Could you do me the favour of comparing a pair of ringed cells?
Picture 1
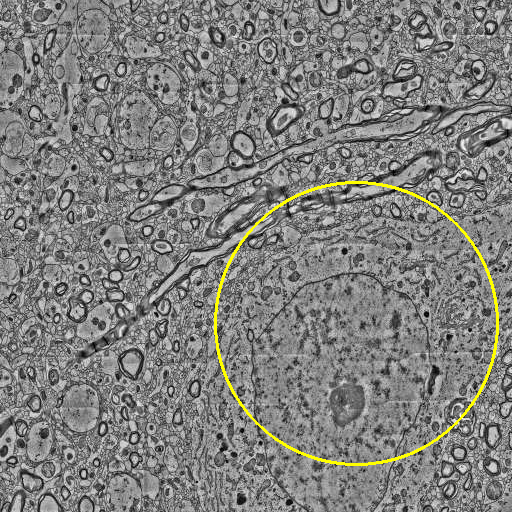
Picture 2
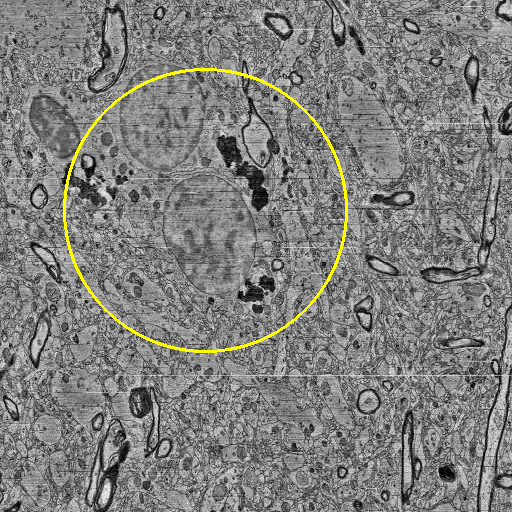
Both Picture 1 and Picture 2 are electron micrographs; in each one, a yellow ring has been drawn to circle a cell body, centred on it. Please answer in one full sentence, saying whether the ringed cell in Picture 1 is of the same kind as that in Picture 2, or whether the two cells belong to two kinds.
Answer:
The ringed cells in Picture 1 and Picture 2 belong to two kinds.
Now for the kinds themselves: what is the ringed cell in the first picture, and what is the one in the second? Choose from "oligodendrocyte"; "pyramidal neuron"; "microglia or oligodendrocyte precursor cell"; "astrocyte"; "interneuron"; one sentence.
Here the first cell is a pyramidal neuron and the second cell is an oligodendrocyte.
